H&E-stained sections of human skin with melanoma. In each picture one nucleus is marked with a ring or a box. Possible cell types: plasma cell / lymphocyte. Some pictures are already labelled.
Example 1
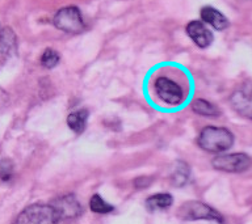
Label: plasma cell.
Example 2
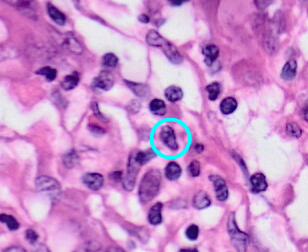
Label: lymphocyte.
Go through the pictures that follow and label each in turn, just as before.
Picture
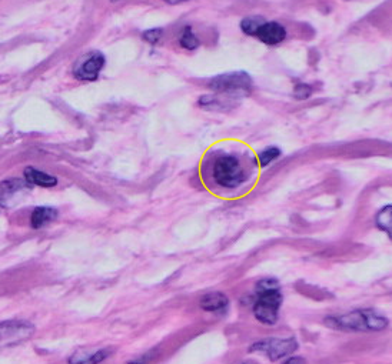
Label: plasma cell.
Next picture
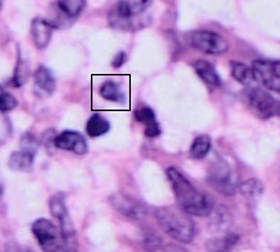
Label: lymphocyte.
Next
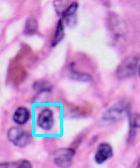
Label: lymphocyte.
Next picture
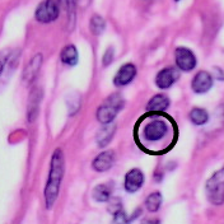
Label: lymphocyte.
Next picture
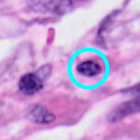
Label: plasma cell.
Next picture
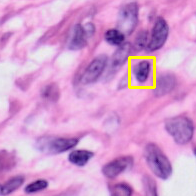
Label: lymphocyte.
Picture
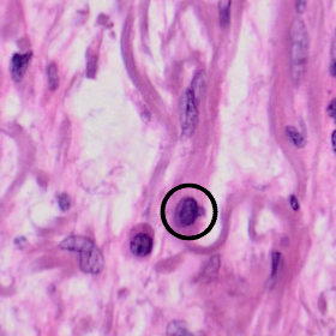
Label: plasma cell.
